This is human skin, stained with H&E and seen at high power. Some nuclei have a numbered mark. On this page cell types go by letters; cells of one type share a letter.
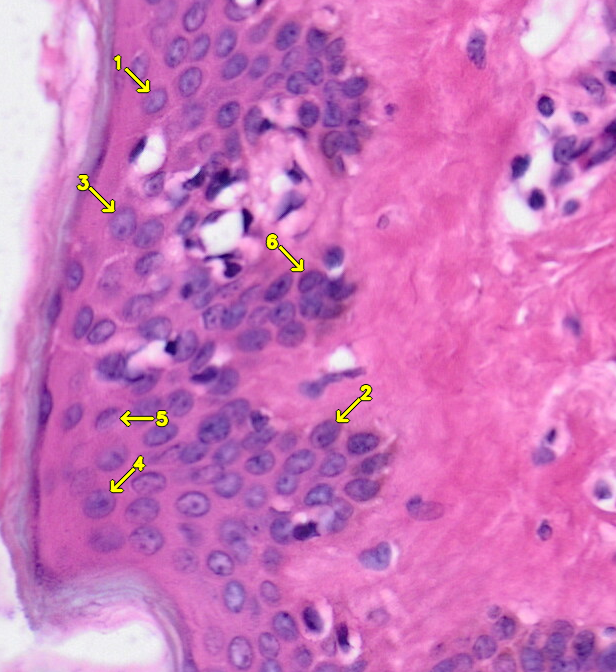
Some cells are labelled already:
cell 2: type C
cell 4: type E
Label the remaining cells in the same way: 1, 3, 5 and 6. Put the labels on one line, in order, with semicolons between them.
type E; type E; type E; type C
